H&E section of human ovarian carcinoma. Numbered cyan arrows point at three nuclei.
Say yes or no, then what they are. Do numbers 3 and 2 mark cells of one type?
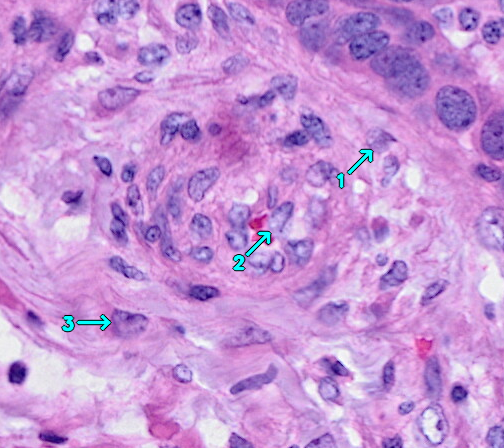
No, an endothelial cell is what cell 2 is, while cell 3 is a fibroblast.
